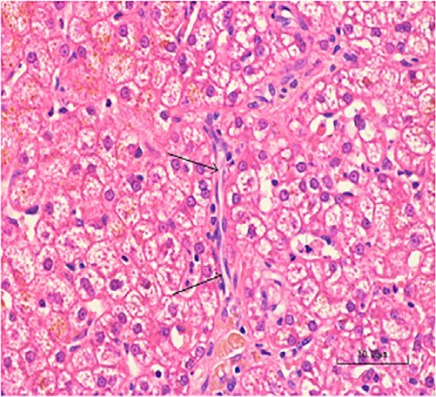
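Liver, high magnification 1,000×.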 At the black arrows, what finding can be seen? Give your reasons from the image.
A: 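The arrows point to a narrow elongated vessel running between hepatocyte plates. The vessel lies within the parenchyma, not in a broad connective tissue tract. On this evidence: hypertrophy of parenchymal hepatic arteriole.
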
